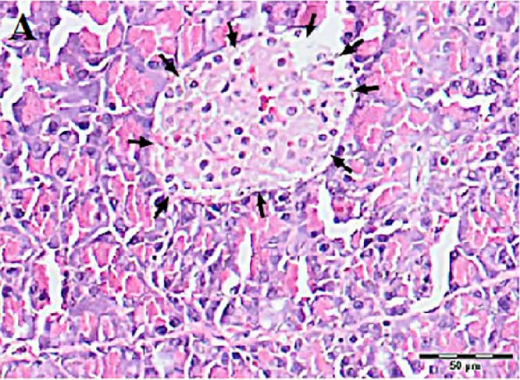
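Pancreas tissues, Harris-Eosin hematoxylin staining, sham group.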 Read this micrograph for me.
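A rounded, pale pink cluster of cells with round, centrally placed purple nuclei sits sharply bounded among surrounding exocrine acini, whose cells have darker purple bases and bright pink apical cytoplasm. This pale cluster is an islet of Langerhans set within otherwise orderly pancreatic acinar tissue.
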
